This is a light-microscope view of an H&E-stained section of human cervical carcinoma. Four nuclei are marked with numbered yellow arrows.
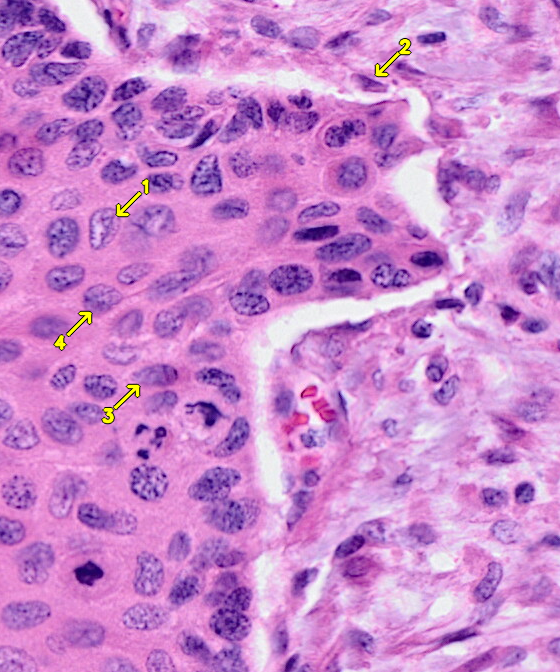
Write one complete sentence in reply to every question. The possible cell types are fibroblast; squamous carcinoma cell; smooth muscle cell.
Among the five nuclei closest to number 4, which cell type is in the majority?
Squamous carcinoma cells make up most of the five nuclei closest to number 4.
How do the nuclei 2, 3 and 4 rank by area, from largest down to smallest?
From largest to smallest, the order is 4, 3, 2.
